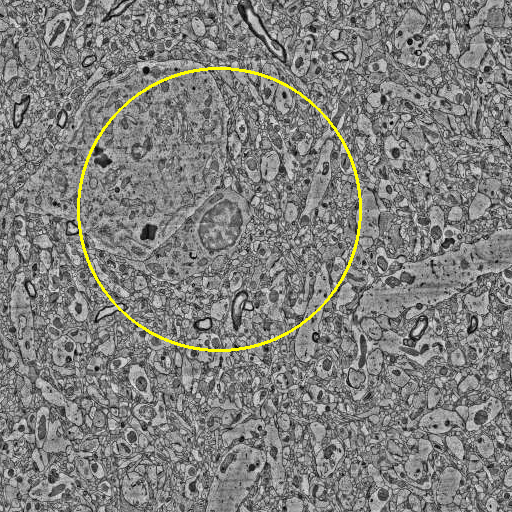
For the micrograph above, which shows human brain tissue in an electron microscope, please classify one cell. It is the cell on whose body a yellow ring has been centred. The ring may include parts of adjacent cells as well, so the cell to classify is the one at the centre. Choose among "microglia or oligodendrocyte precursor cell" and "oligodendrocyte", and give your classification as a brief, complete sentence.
I classify this cell as an oligodendrocyte.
